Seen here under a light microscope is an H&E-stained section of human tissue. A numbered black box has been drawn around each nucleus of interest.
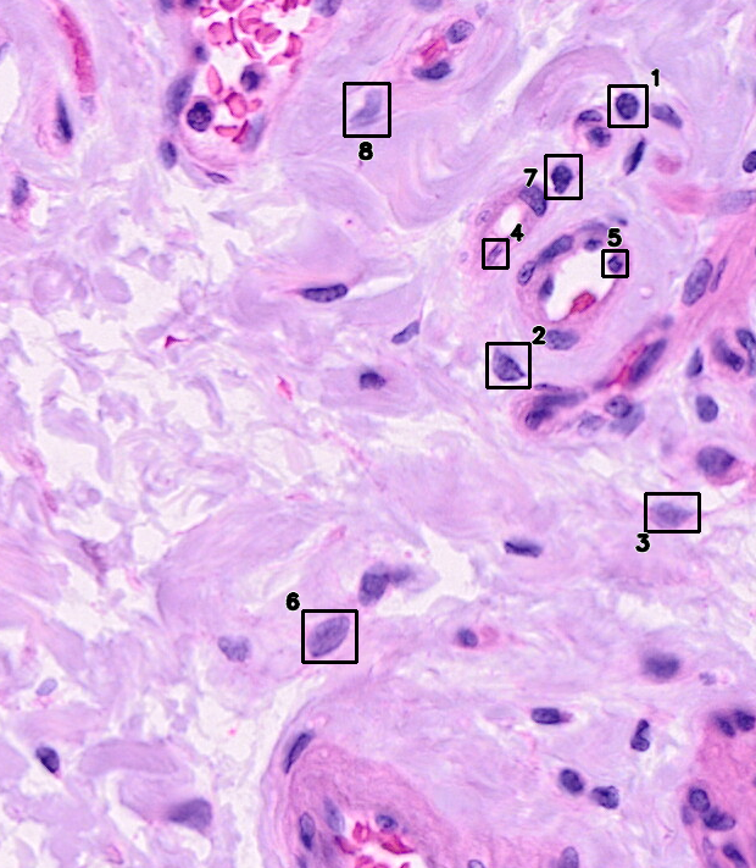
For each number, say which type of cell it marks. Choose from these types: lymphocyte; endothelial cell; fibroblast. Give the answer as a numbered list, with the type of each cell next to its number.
1. lymphocyte
2. fibroblast
3. fibroblast
4. endothelial cell
5. endothelial cell
6. fibroblast
7. lymphocyte
8. fibroblast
